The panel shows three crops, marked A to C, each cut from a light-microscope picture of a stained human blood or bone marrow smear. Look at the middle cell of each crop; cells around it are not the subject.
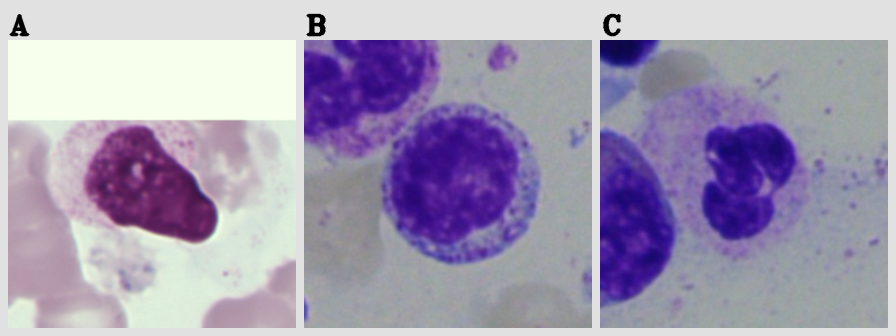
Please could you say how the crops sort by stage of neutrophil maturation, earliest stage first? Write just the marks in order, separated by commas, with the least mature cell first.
B, A, C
